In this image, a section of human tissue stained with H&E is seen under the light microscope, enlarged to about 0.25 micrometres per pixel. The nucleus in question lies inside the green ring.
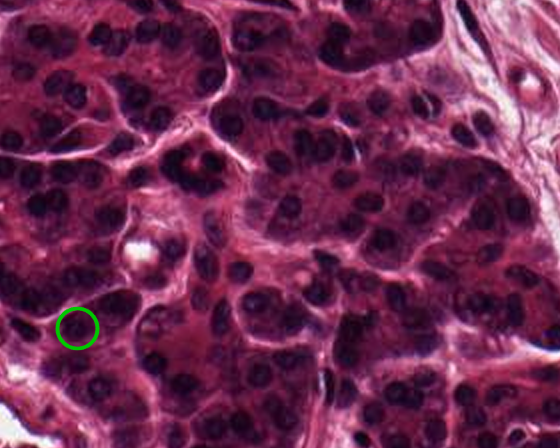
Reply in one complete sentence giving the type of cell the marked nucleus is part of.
The cell that the marked nucleus belongs to is a pancreatic acinar cell.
